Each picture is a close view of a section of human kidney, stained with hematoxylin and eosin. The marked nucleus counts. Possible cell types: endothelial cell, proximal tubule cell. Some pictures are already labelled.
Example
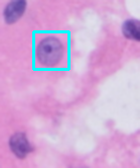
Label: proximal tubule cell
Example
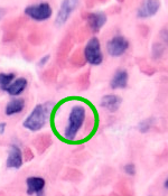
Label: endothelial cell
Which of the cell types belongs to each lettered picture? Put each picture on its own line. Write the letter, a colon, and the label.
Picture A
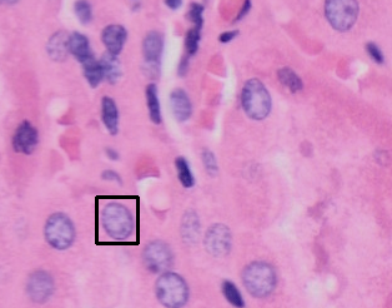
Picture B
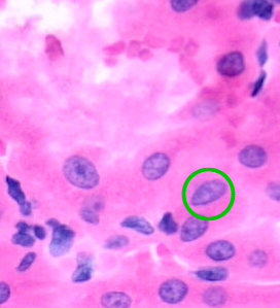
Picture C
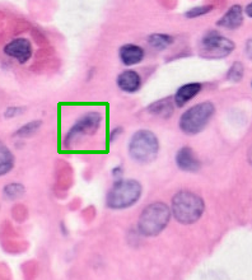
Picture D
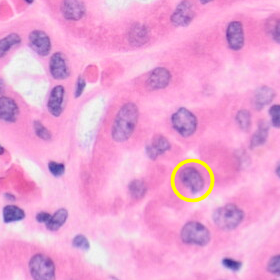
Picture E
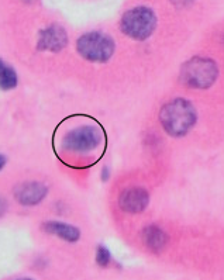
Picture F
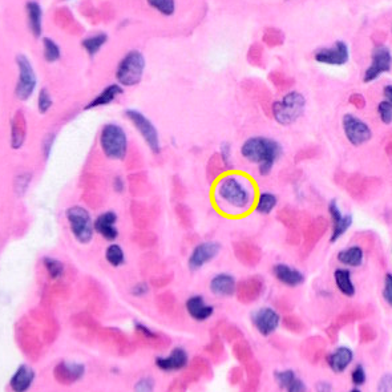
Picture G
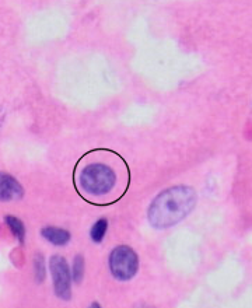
A: proximal tubule cell
B: proximal tubule cell
C: endothelial cell
D: proximal tubule cell
E: endothelial cell
F: endothelial cell
G: proximal tubule cell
